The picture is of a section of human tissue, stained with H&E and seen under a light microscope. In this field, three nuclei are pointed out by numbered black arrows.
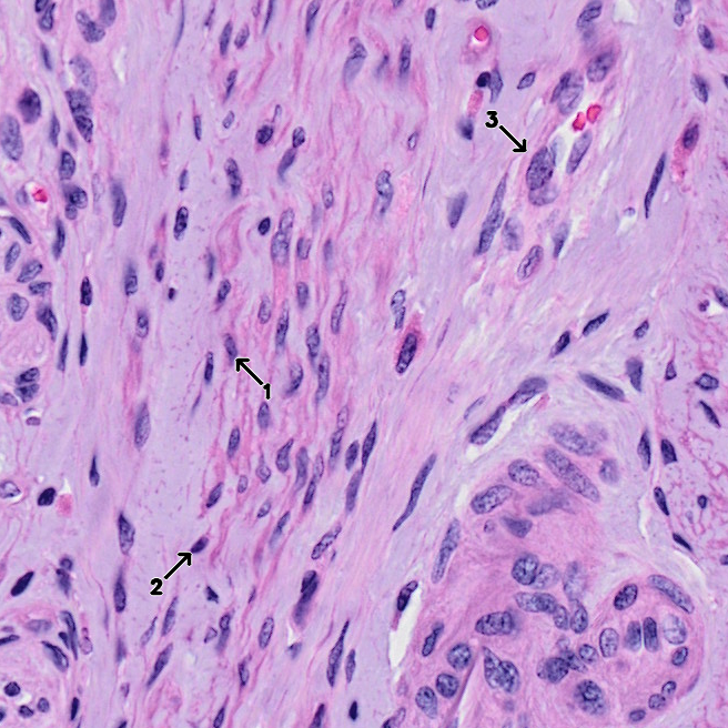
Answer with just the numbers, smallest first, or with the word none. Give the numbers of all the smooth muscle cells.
1, 2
